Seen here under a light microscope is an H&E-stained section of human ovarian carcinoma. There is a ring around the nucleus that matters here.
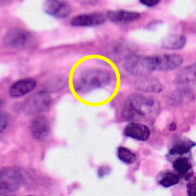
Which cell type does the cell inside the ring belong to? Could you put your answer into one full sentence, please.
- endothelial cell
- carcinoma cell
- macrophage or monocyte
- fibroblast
In this section, the cell inside the ring is a carcinoma cell.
